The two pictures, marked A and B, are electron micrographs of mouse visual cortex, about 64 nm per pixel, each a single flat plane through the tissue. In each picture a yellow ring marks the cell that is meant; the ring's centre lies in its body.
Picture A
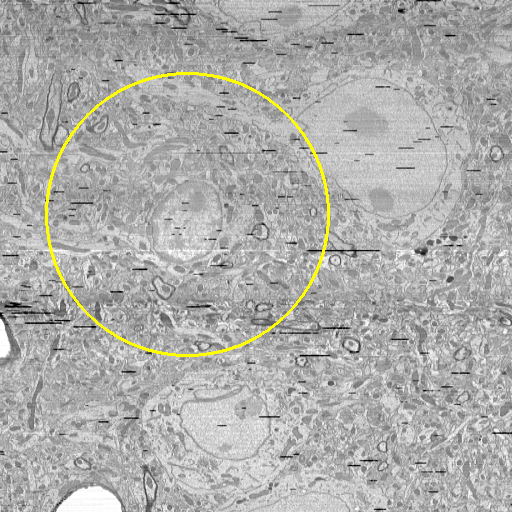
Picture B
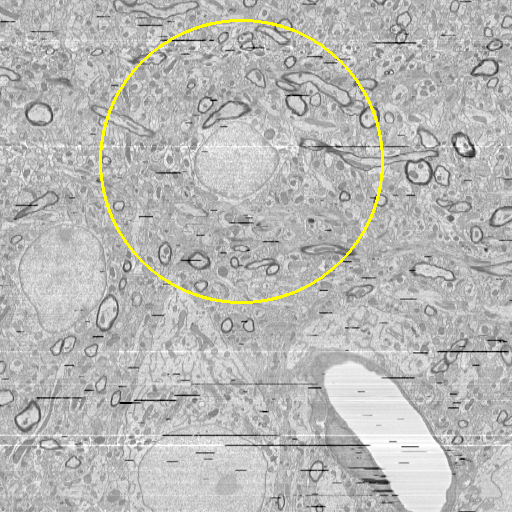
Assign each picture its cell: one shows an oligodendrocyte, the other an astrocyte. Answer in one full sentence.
In picture A the cell is an oligodendrocyte; in picture B, an astrocyte.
